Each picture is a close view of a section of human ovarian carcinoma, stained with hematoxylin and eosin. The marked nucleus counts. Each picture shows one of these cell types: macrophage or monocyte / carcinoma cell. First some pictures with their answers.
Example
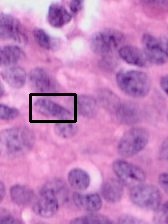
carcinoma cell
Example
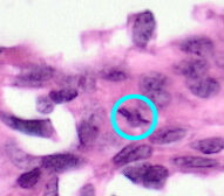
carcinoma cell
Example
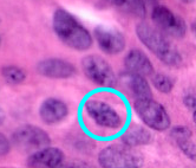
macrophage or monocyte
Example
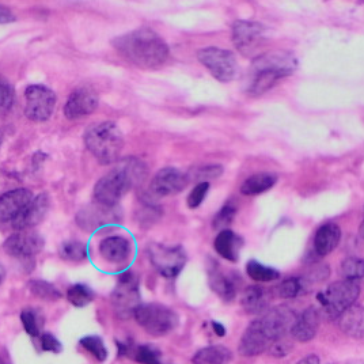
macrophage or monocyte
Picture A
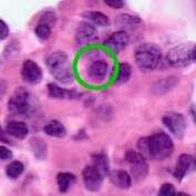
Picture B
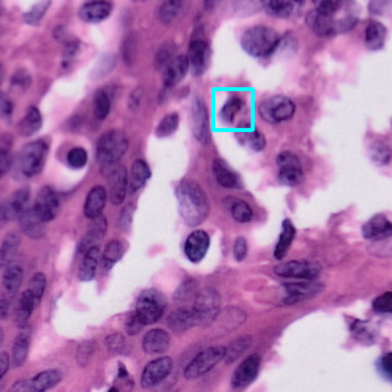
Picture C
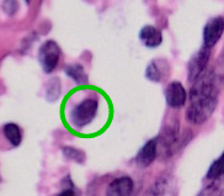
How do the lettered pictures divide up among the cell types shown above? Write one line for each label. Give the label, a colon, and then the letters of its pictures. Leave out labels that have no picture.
macrophage or monocyte: B
carcinoma cell: A, C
